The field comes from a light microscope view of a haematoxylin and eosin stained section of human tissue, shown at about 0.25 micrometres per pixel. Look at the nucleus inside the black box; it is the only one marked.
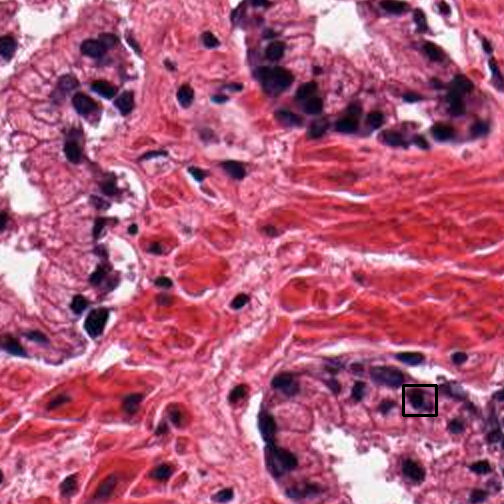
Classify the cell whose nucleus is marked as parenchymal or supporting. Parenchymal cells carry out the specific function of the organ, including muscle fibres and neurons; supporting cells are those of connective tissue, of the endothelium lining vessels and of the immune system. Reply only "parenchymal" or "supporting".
parenchymal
